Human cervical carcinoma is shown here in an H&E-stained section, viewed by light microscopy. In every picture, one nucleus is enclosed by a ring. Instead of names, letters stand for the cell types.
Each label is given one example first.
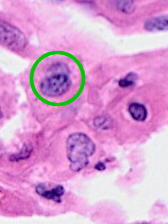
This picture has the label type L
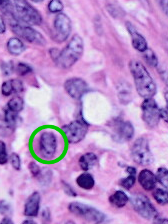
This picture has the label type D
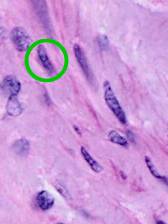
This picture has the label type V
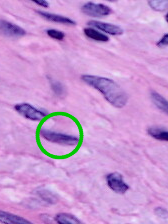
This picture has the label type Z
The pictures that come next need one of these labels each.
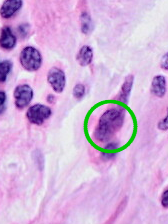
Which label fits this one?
type D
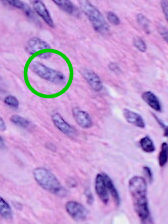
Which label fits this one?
type V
